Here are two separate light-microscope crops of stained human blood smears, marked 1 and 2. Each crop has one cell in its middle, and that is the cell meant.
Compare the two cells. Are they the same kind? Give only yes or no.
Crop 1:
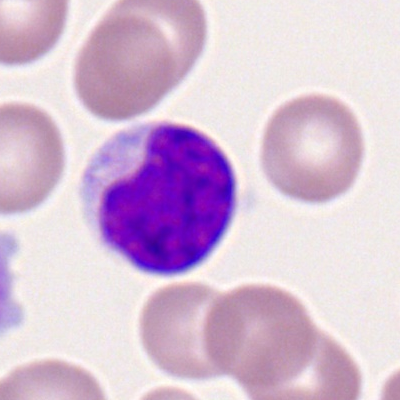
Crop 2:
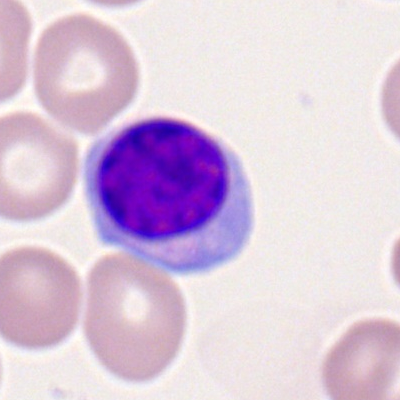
yes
